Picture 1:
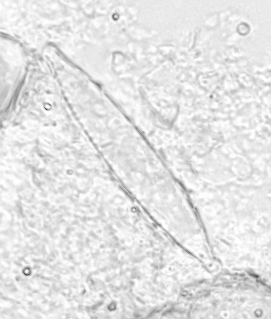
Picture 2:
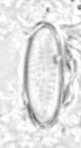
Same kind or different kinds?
Different: the first is Nitzschia, the second Achnanthidium.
